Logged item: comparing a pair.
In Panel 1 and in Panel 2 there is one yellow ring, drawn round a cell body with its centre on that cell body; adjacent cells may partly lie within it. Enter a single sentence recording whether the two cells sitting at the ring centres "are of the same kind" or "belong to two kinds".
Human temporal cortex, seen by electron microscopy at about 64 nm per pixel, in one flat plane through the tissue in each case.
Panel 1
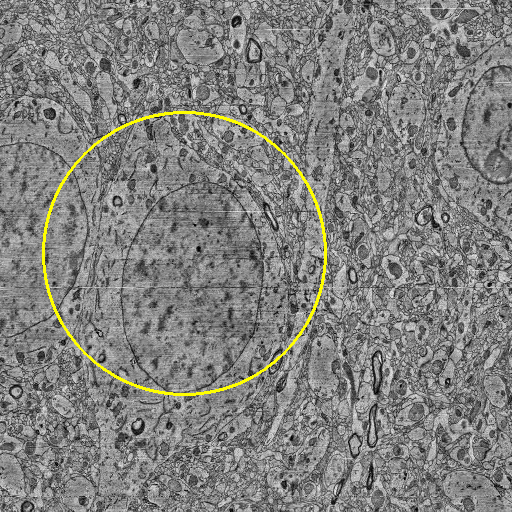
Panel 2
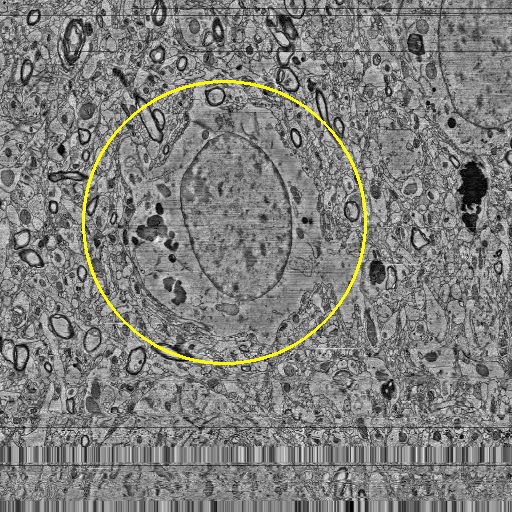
Logged: the cells centred in the rings of Panel 1 and Panel 2 belong to two kinds.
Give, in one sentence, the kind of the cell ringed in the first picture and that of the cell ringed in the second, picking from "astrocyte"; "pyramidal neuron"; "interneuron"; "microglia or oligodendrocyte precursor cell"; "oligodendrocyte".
For the first picture it is a pyramidal neuron; for the second, an astrocyte.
